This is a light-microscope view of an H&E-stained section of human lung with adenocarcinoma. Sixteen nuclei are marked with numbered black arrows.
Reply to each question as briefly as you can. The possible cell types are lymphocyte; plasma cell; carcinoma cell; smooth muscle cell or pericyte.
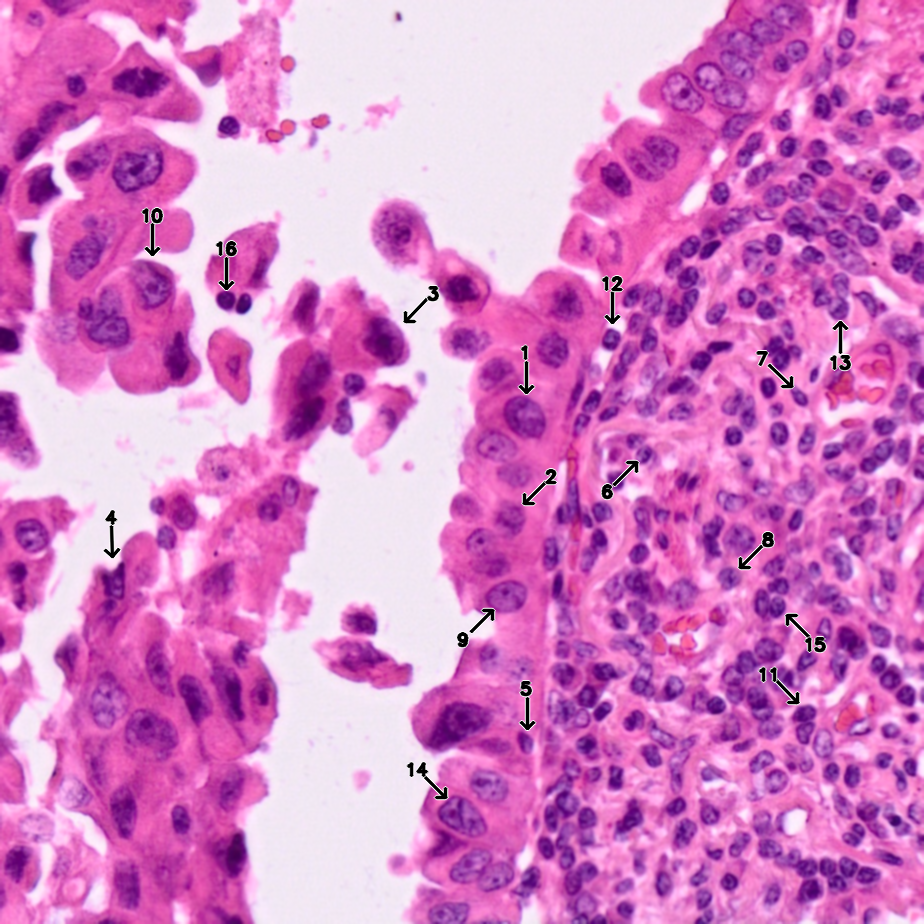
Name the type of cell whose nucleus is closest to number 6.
plasma cell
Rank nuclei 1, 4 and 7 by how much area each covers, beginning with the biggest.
1, 4, 7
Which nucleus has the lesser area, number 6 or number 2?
6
